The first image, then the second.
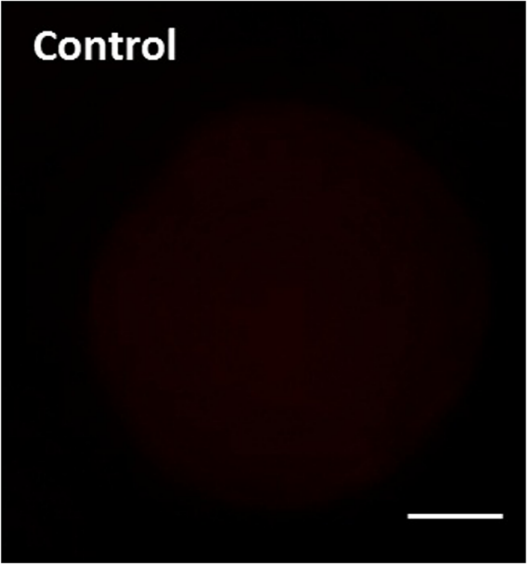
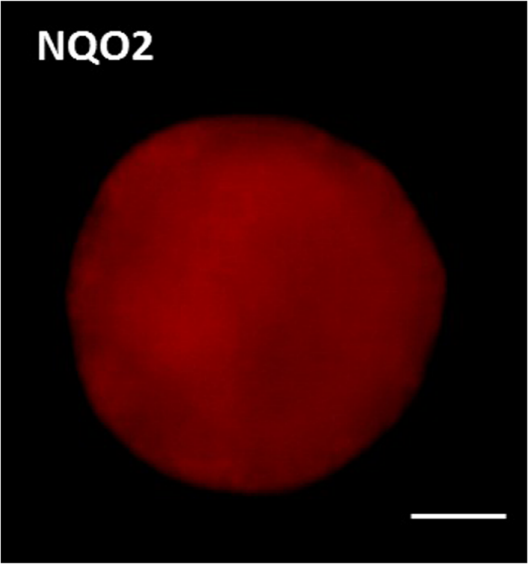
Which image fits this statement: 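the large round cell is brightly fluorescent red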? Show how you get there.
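Second image: the round cell glows evenly red throughout.
Hence: the second image.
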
